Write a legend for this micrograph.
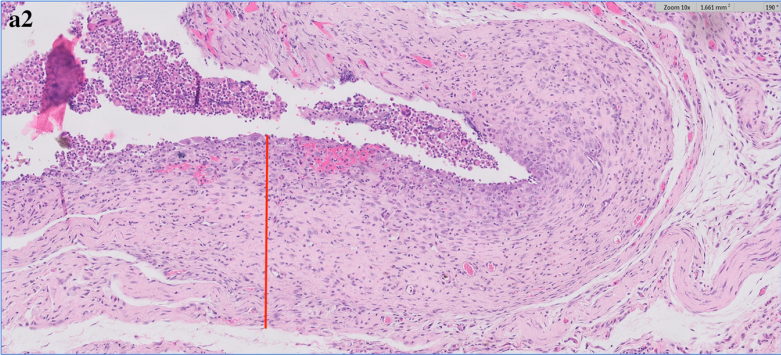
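A broad band of dense connective tissue sweeps across the field and curves around on the right. The band is crowded with spindle-shaped cells whose elongated purple nuclei lie parallel to the pink fibres. The red line crosses the whole width of the band. Looser, paler layers of tissue surround the band on the outside.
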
